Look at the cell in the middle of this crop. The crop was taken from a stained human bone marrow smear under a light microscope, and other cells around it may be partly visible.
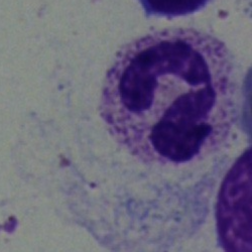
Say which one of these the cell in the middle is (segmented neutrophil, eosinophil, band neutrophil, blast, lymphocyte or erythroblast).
segmented neutrophil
